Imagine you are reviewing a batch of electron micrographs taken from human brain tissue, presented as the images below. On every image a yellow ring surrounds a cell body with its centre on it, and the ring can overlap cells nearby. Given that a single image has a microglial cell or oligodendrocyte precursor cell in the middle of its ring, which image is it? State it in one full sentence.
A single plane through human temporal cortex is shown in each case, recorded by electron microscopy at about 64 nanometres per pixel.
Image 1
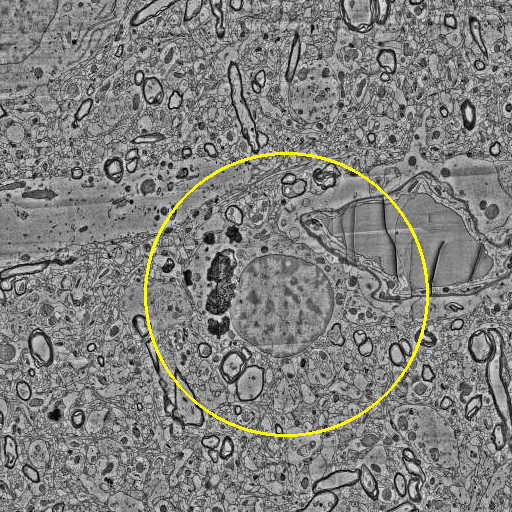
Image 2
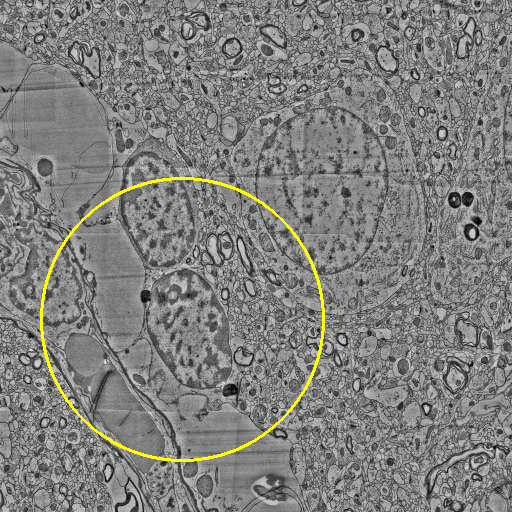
Of all the images, number 2 has the described cell at the centre of its ring.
